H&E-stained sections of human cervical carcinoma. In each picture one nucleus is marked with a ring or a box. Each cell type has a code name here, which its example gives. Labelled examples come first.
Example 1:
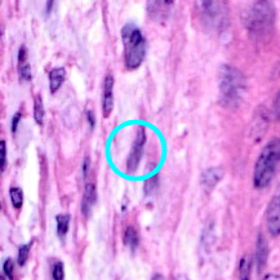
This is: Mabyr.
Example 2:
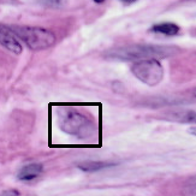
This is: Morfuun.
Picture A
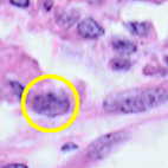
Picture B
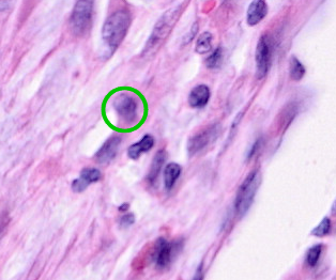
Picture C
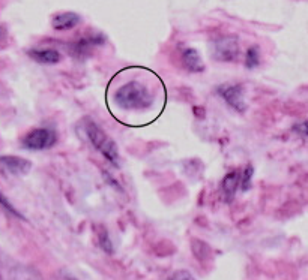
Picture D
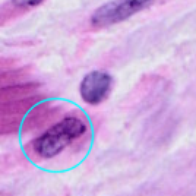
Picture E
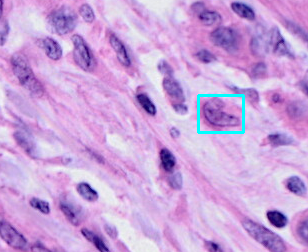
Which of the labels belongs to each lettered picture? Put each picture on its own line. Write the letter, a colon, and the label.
A: Morfuun.
B: Morfuun.
C: Morfuun.
D: Morfuun.
E: Morfuun.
